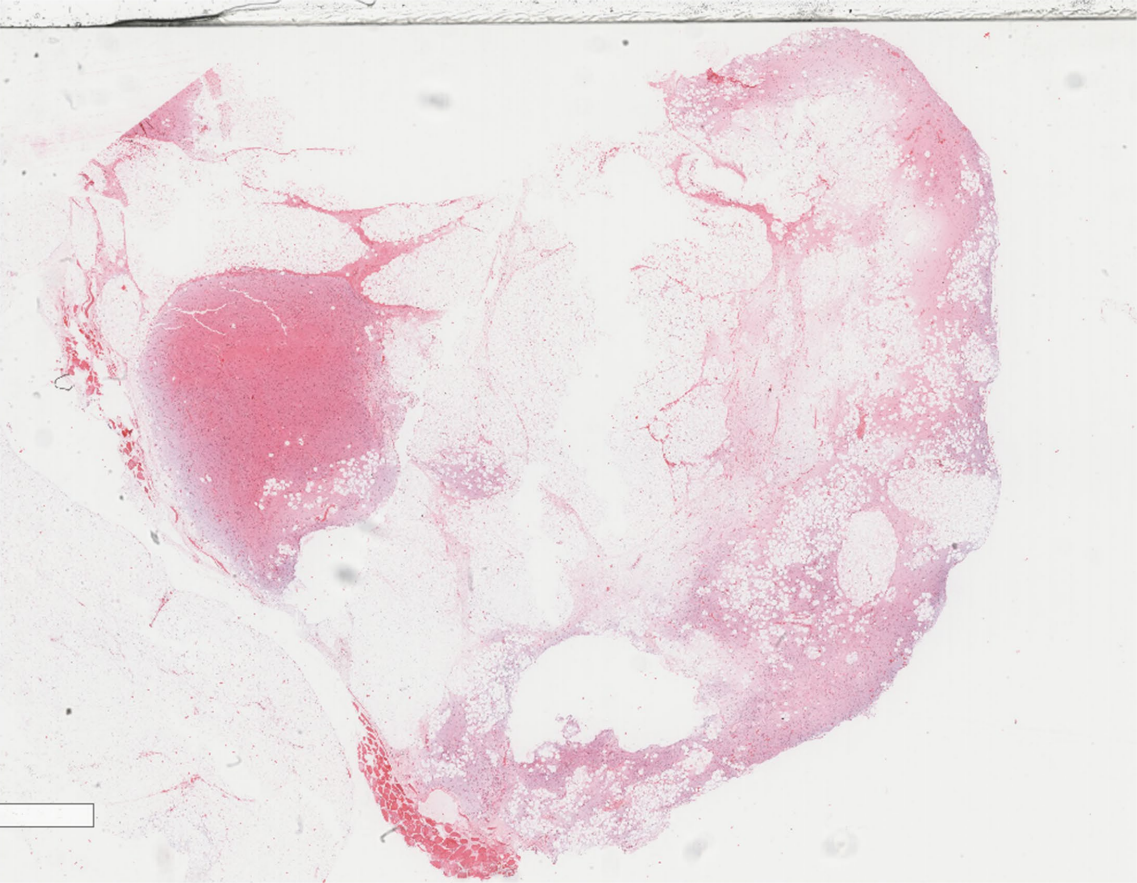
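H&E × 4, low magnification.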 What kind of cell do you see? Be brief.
mature adipocytes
